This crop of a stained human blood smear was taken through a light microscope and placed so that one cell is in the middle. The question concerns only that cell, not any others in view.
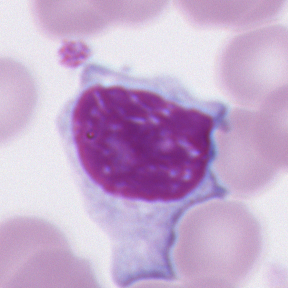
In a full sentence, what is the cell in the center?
At the middle of the frame sits a typical lymphocyte.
